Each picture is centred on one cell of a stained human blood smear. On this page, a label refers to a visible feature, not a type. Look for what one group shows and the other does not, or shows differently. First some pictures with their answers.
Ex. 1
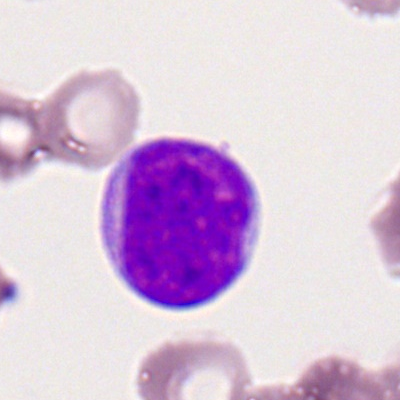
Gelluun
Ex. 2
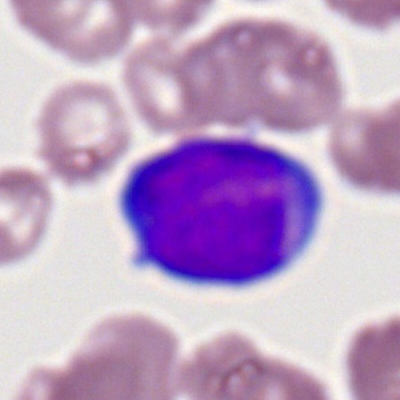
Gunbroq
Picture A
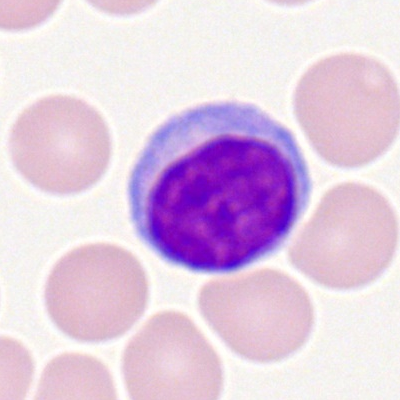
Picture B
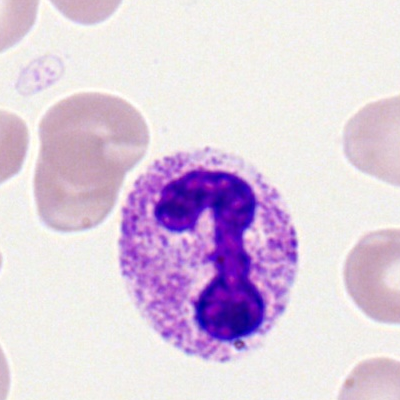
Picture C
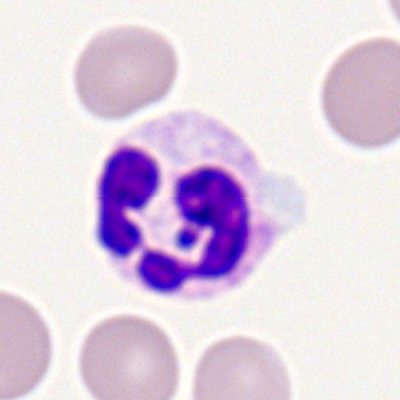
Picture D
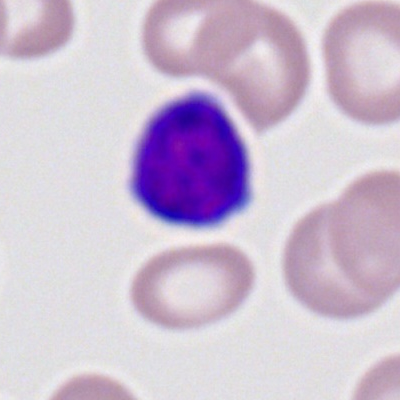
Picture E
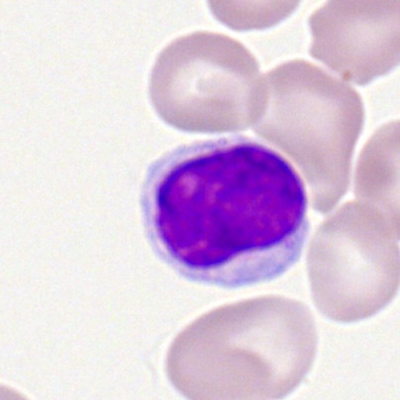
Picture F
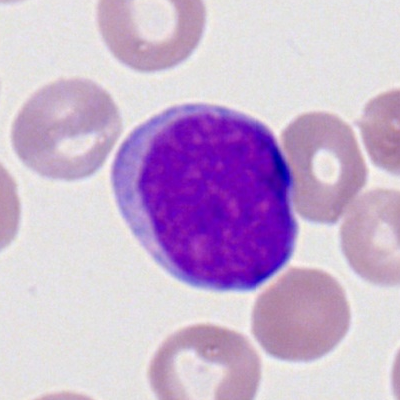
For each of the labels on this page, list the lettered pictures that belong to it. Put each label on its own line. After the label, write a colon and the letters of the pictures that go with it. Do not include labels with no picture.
Gelluun: A, B, D, E, F
Gunbroq: C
